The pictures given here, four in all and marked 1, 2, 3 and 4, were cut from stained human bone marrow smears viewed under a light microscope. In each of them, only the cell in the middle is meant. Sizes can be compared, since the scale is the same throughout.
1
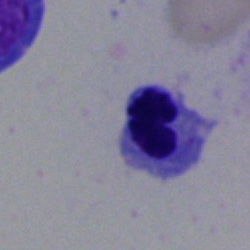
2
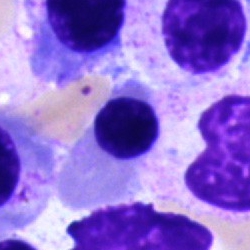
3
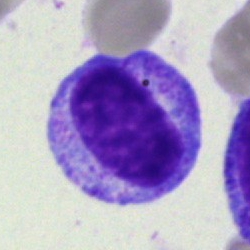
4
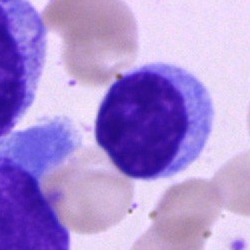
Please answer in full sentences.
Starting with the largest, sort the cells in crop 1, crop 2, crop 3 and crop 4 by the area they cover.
Largest first: 3, 4, 1, 2.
